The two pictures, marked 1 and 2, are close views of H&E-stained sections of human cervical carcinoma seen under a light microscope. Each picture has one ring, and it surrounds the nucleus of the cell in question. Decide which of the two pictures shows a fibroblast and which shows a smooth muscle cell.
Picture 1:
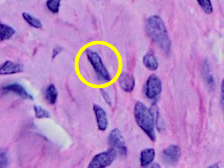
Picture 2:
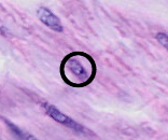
1: fibroblast
2: smooth muscle cell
